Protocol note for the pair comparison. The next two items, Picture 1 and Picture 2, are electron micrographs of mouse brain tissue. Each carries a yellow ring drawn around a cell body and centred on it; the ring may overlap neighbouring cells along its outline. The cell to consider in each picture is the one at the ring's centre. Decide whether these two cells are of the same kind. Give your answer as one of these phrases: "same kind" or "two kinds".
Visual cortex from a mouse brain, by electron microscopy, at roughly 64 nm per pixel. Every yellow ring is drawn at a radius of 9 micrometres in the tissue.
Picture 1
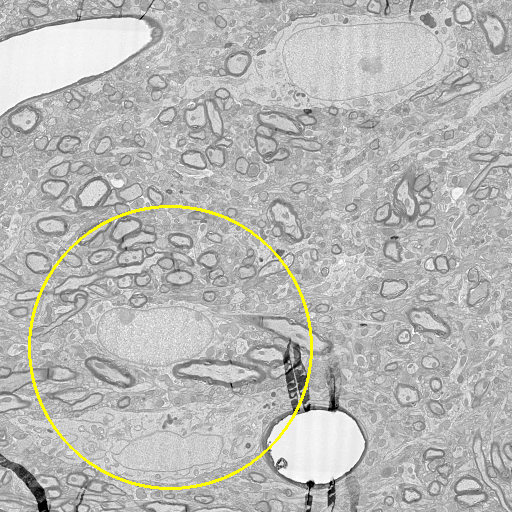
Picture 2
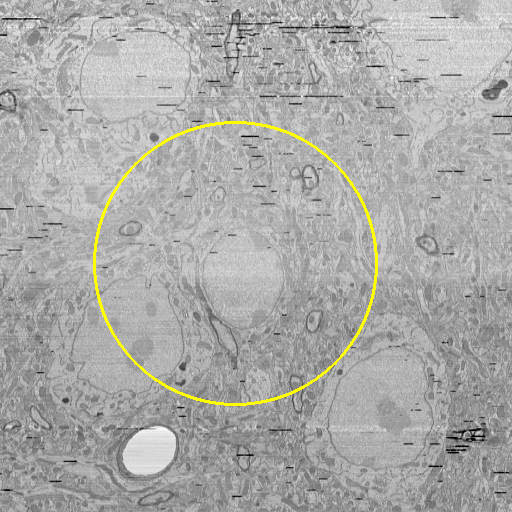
same kind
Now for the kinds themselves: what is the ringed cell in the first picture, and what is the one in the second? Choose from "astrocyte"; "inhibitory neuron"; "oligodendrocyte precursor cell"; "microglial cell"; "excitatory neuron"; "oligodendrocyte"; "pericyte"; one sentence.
Each one of the two ringed cells is an astrocyte.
